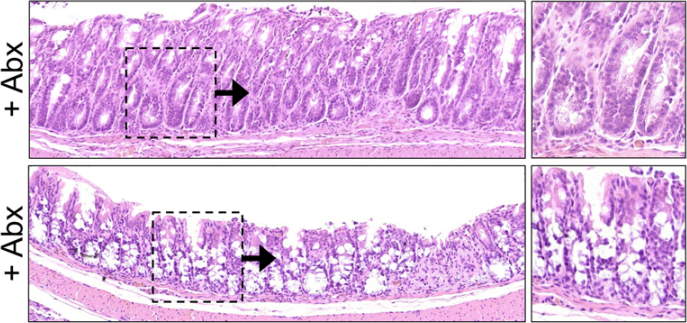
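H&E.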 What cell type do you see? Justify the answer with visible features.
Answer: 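Goblet cells. These pale cells are especially numerous and distinct in the lower row and its inset.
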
